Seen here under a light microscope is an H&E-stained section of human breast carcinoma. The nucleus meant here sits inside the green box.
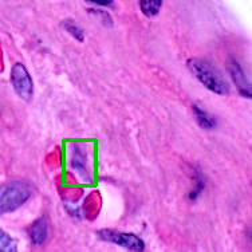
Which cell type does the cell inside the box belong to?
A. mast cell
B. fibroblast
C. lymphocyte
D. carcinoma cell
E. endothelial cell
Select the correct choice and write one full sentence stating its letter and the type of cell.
Here the cell inside the box is an endothelial cell, which makes option E correct.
